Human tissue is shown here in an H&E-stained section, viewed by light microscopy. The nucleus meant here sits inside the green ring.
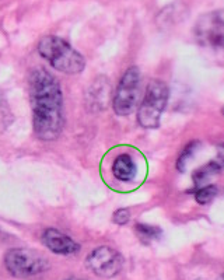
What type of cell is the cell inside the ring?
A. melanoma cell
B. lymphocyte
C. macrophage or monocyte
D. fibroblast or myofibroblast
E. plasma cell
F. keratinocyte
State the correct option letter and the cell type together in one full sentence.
Option B is correct in that the cell inside the ring is a lymphocyte.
